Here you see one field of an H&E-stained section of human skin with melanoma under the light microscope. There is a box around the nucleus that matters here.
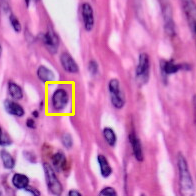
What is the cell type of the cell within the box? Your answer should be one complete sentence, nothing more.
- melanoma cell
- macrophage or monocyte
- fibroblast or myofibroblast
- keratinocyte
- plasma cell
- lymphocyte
It is as a plasma cell that the cell within the box is recorded.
